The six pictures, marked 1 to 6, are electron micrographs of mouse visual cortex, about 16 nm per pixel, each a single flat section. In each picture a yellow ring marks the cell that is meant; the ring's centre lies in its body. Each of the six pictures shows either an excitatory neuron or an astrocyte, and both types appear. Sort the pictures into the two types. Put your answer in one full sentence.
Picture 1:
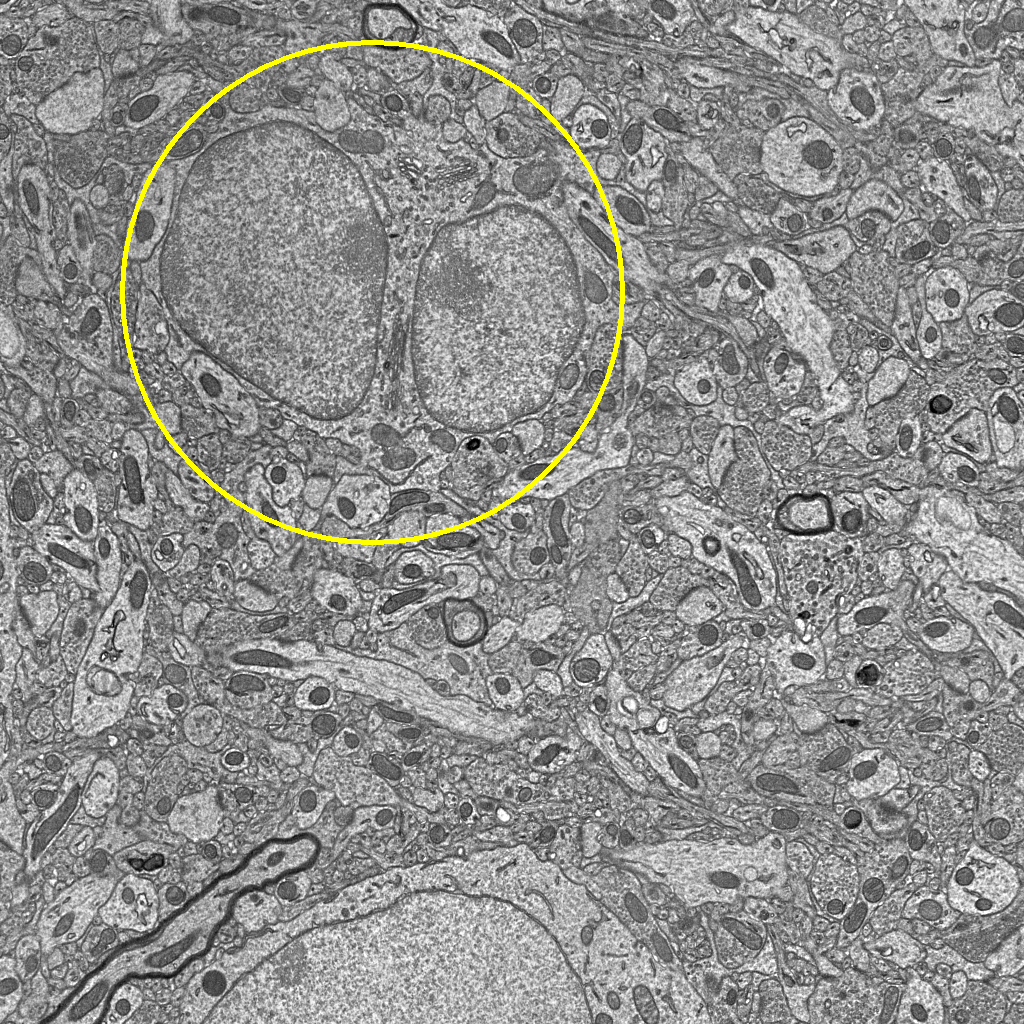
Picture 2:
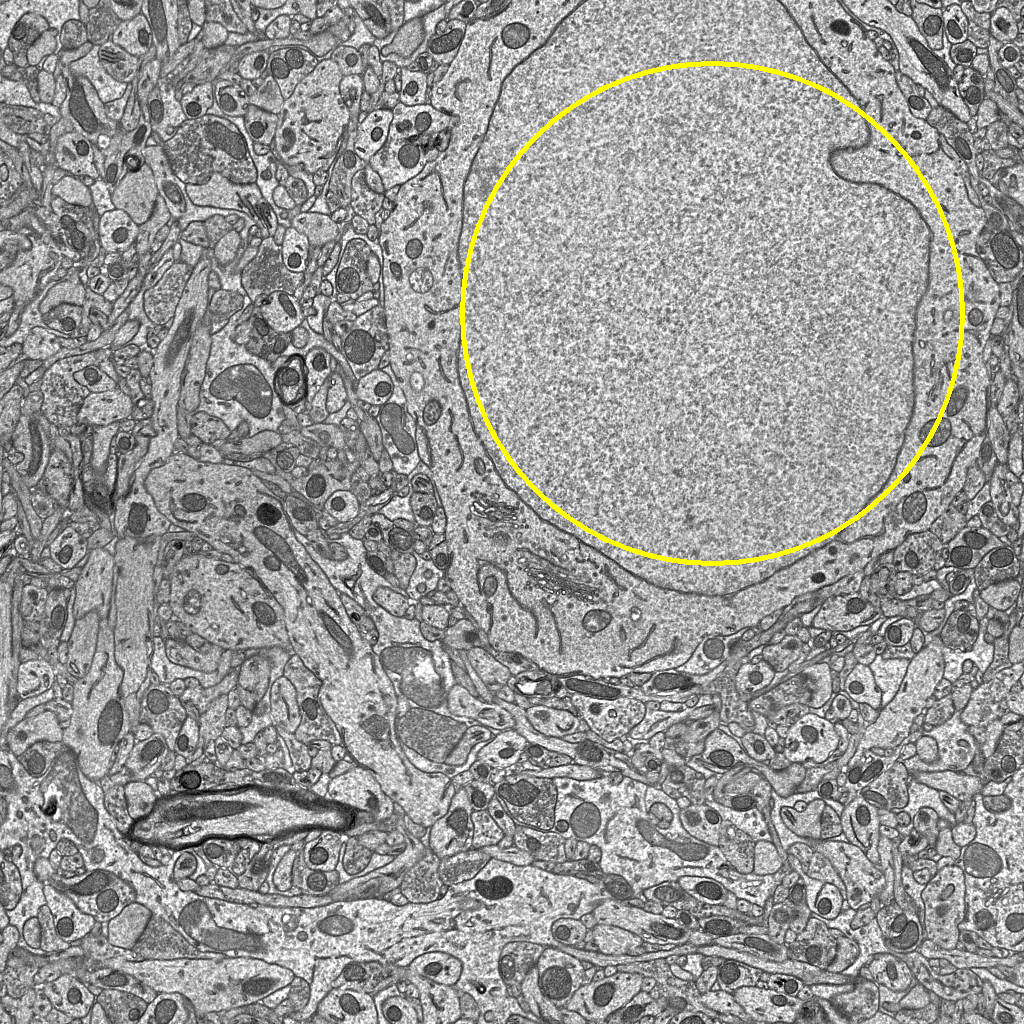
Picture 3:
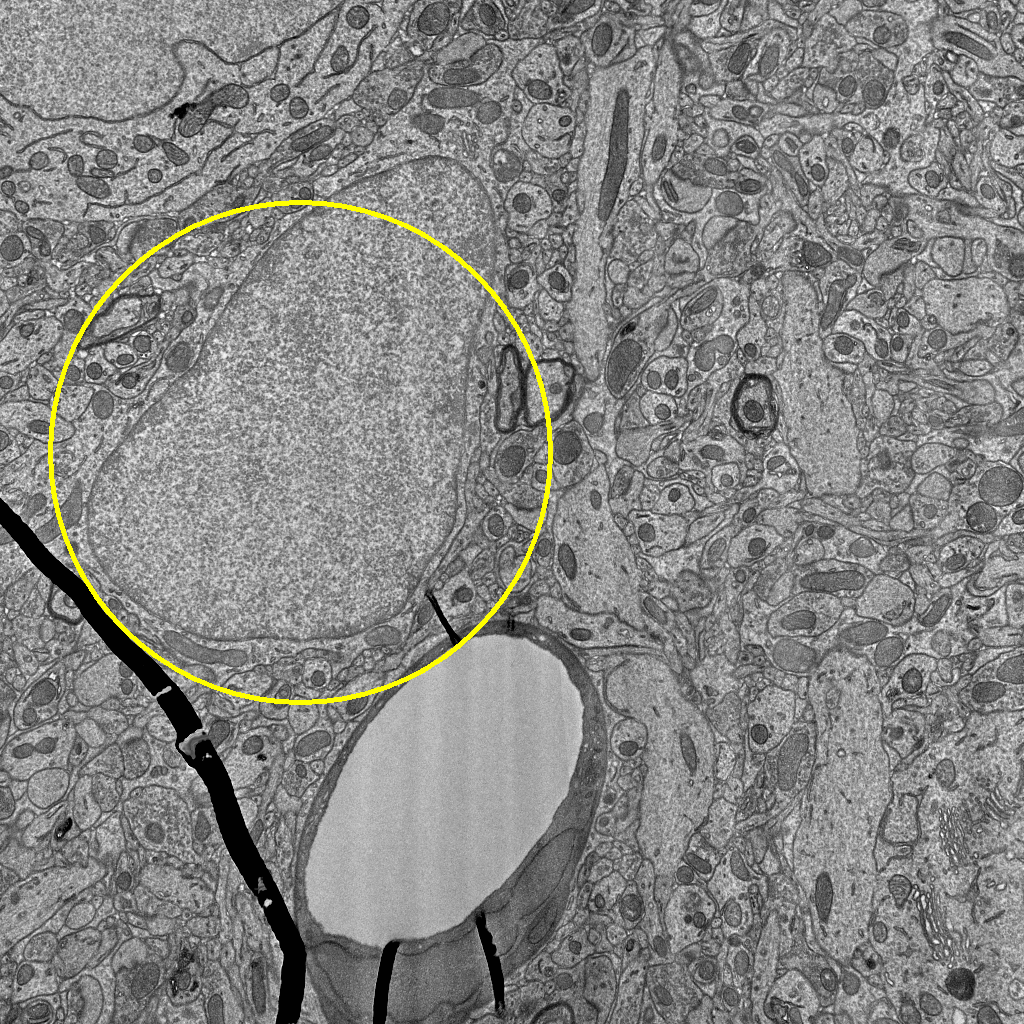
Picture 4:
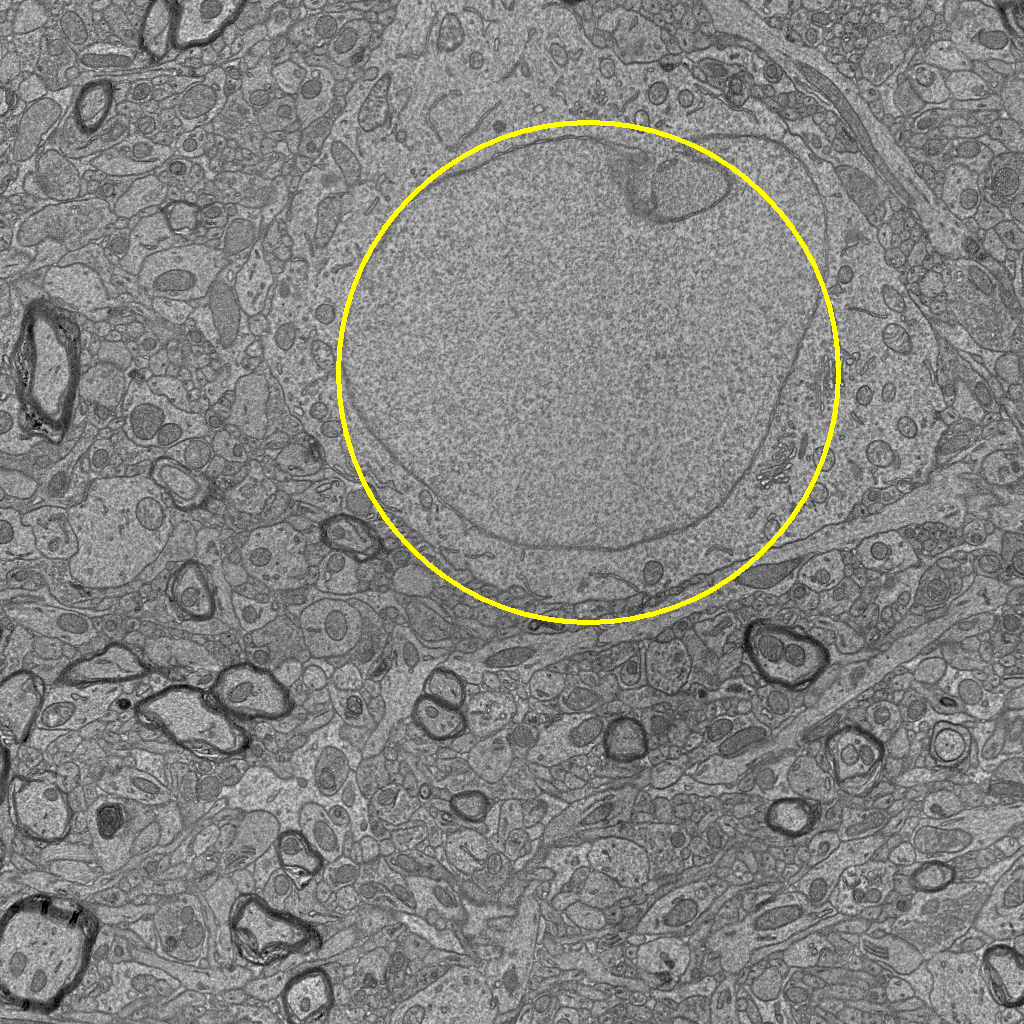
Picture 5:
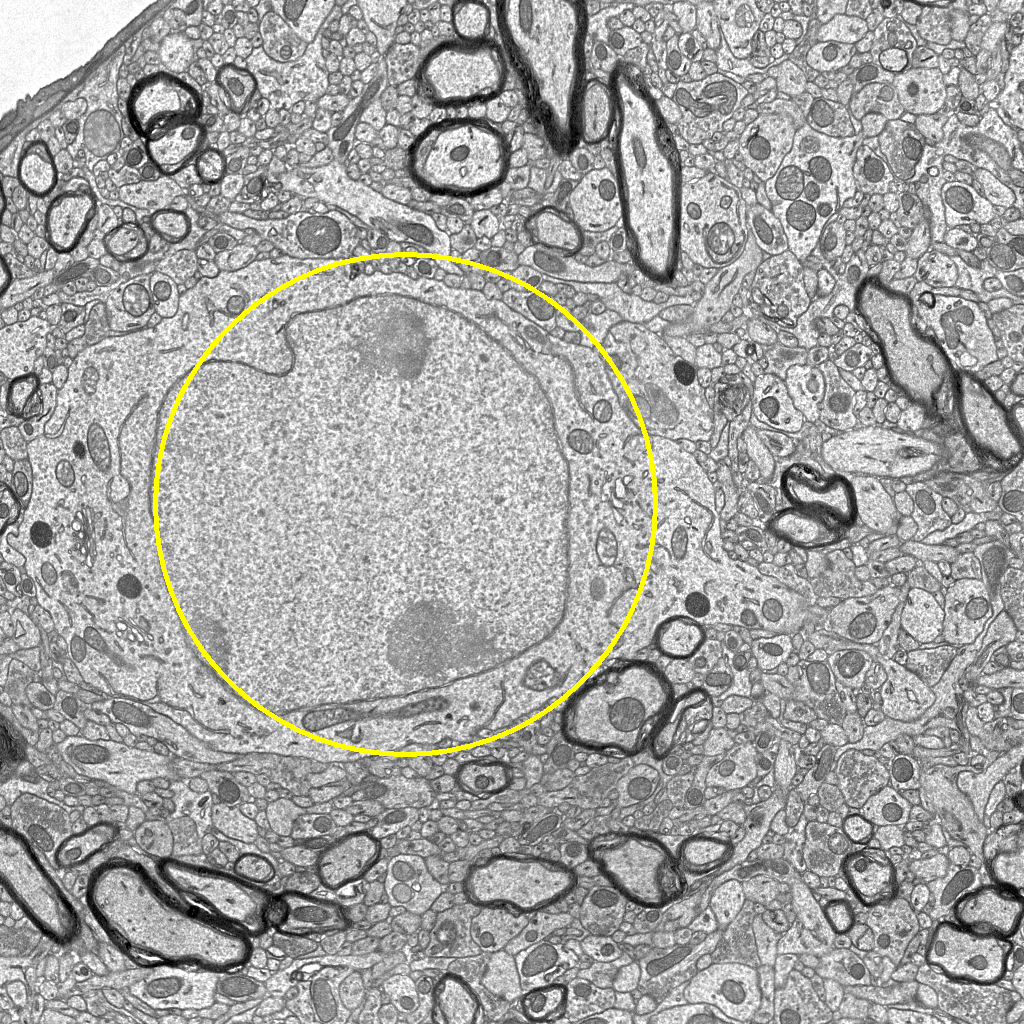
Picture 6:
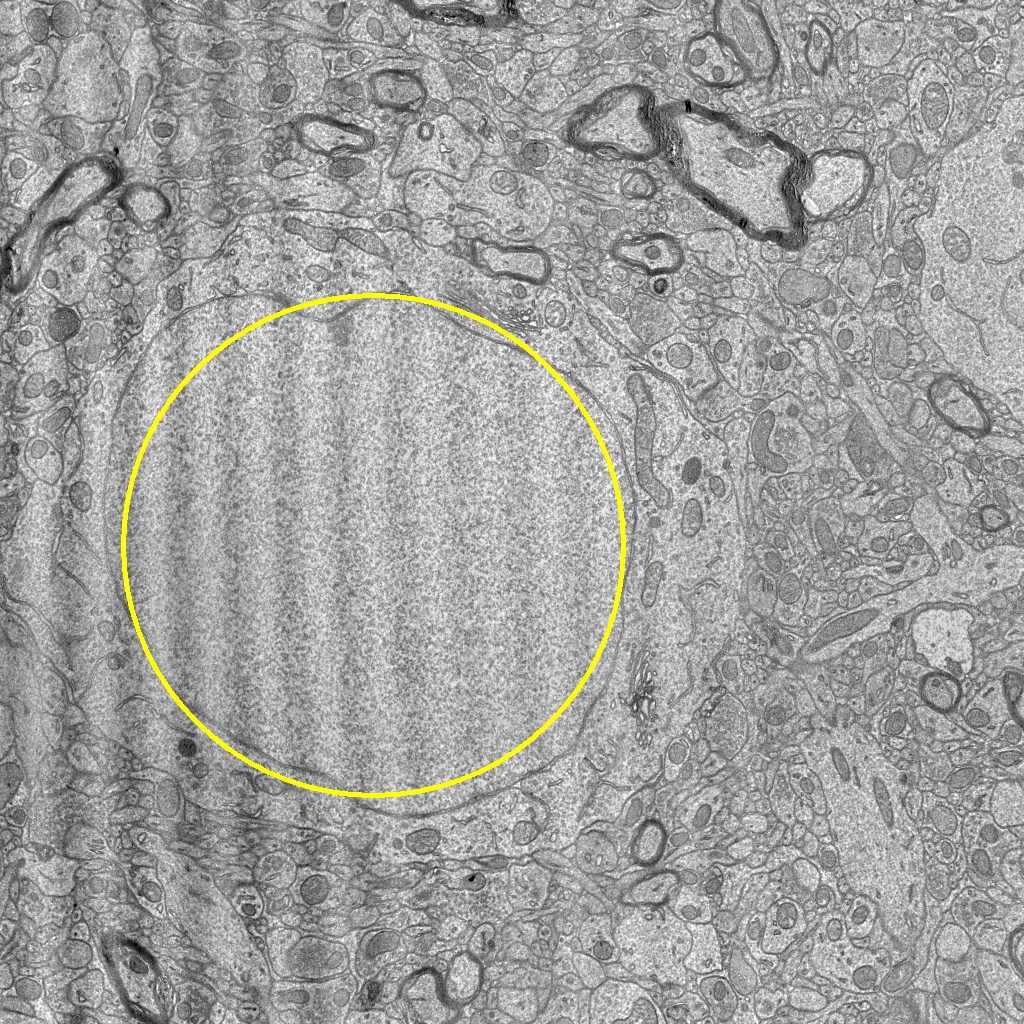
Pictures 2, 4, 5 and 6 show excitatory neurons, and pictures 1 and 3 show astrocytes.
